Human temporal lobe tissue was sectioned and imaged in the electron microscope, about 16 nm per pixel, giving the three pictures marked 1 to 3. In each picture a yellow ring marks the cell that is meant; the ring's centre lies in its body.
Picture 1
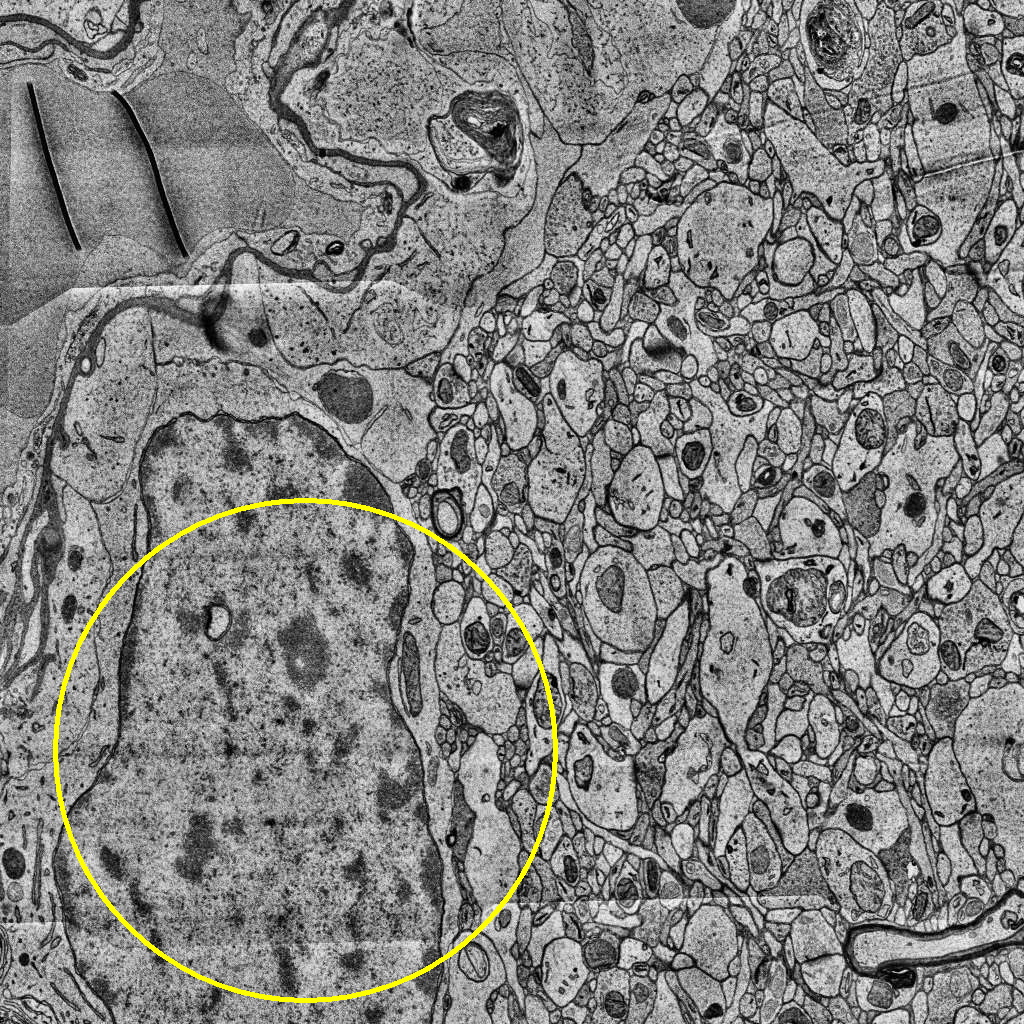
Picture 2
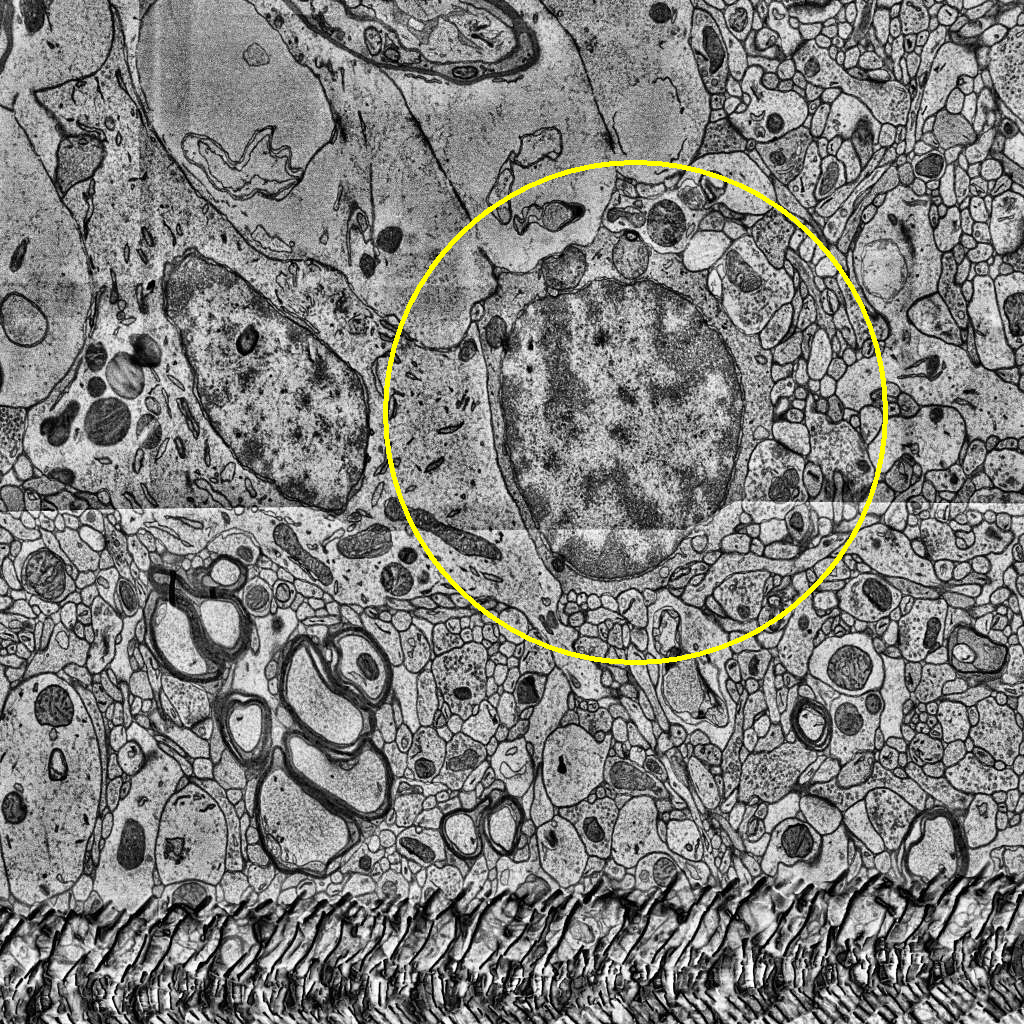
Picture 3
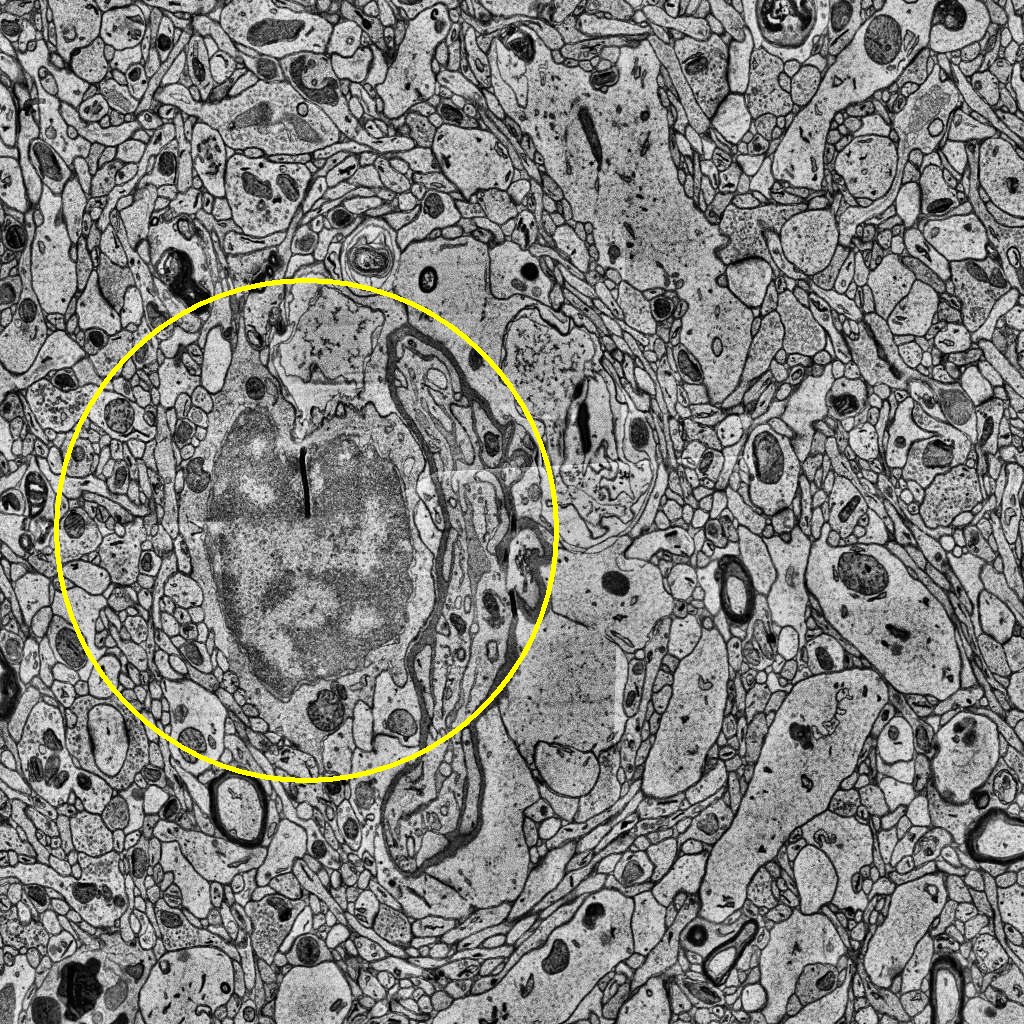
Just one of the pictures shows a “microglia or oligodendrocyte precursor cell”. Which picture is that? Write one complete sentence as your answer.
The “microglia or oligodendrocyte precursor cell” is the one in picture 1.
